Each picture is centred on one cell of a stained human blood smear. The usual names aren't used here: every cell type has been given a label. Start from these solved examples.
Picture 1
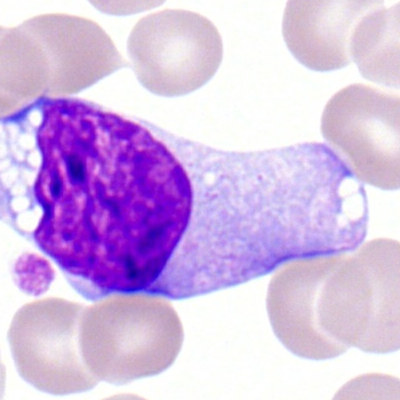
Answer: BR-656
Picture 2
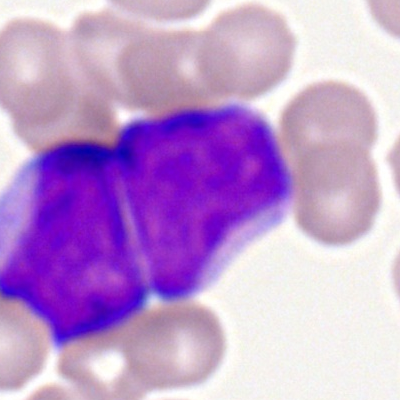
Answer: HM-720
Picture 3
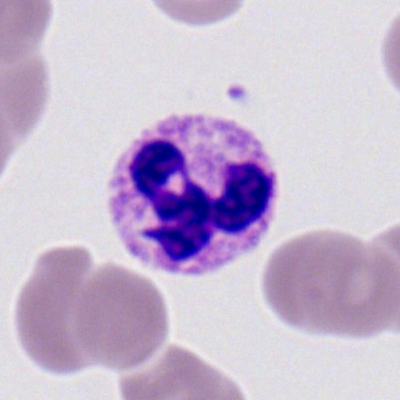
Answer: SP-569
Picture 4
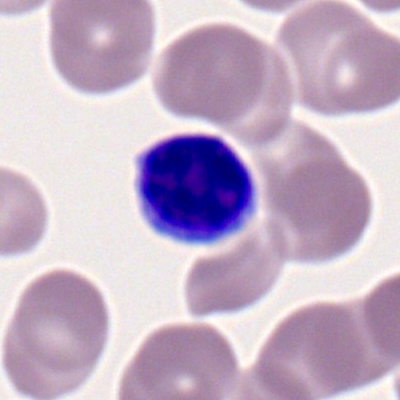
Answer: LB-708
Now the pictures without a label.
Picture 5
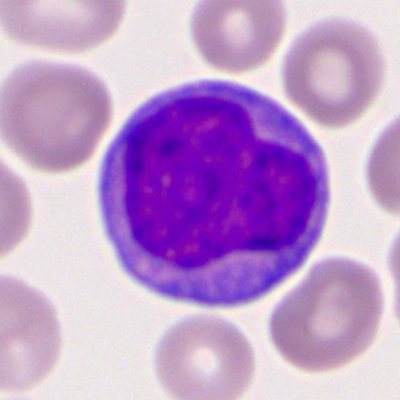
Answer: HM-720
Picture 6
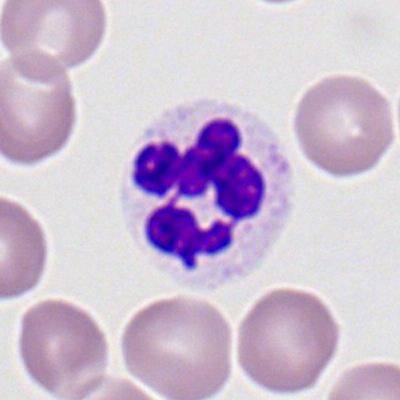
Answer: SP-569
